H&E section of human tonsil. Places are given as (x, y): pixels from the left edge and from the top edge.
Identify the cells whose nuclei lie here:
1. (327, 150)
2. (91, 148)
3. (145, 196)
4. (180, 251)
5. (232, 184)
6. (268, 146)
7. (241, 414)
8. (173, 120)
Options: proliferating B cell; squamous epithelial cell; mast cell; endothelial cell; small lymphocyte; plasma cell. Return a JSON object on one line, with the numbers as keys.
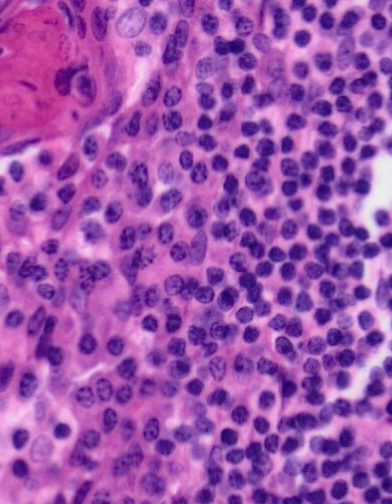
{"1": "small lymphocyte", "2": "plasma cell", "3": "plasma cell", "4": "plasma cell", "5": "small lymphocyte", "6": "small lymphocyte", "7": "plasma cell", "8": "plasma cell"}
